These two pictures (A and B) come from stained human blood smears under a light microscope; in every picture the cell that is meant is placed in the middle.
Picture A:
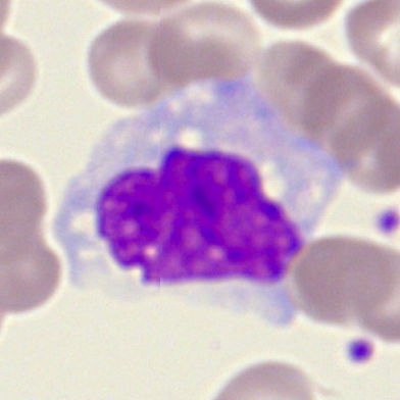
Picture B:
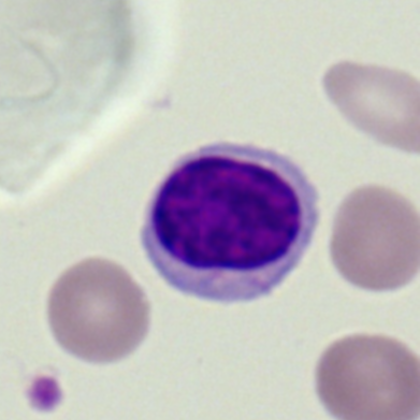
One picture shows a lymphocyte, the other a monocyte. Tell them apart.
A: monocyte
B: lymphocyte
